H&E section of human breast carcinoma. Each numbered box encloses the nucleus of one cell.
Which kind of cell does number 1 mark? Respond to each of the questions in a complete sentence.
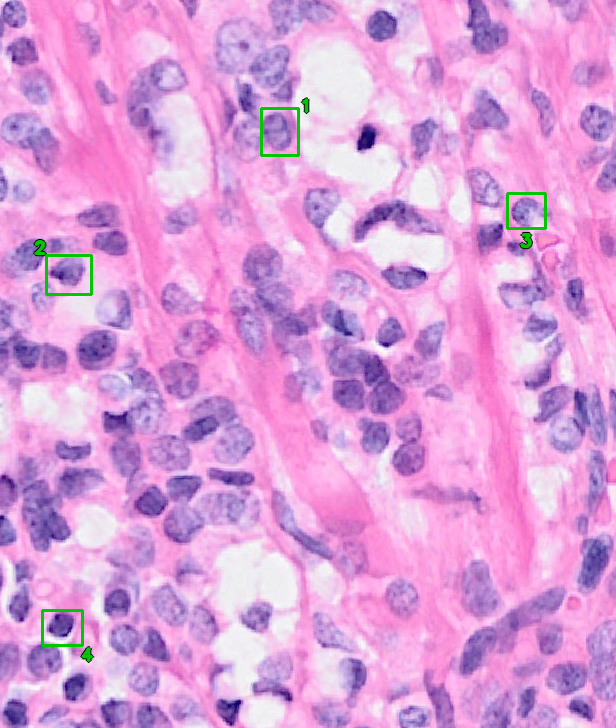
Cell 1 should be recorded as a carcinoma cell.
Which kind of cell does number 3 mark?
Nucleus 3 in this section belongs to an endothelial cell.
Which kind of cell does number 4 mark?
Here, the cell given the number 4 is a carcinoma cell.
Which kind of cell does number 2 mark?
The nucleus with number 2 is that of a carcinoma cell.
